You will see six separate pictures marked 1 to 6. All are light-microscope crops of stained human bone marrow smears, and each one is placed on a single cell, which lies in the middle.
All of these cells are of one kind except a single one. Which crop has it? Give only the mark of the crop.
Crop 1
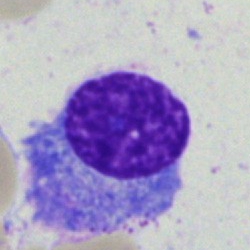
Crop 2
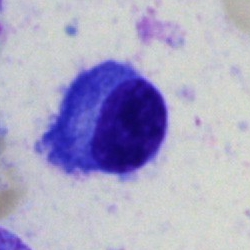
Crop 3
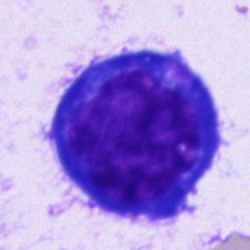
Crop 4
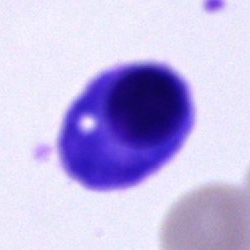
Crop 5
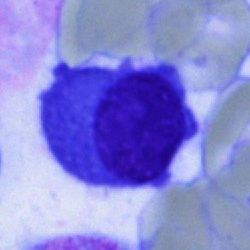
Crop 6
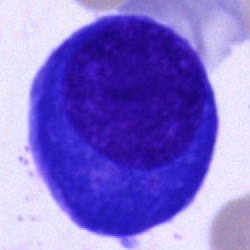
3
